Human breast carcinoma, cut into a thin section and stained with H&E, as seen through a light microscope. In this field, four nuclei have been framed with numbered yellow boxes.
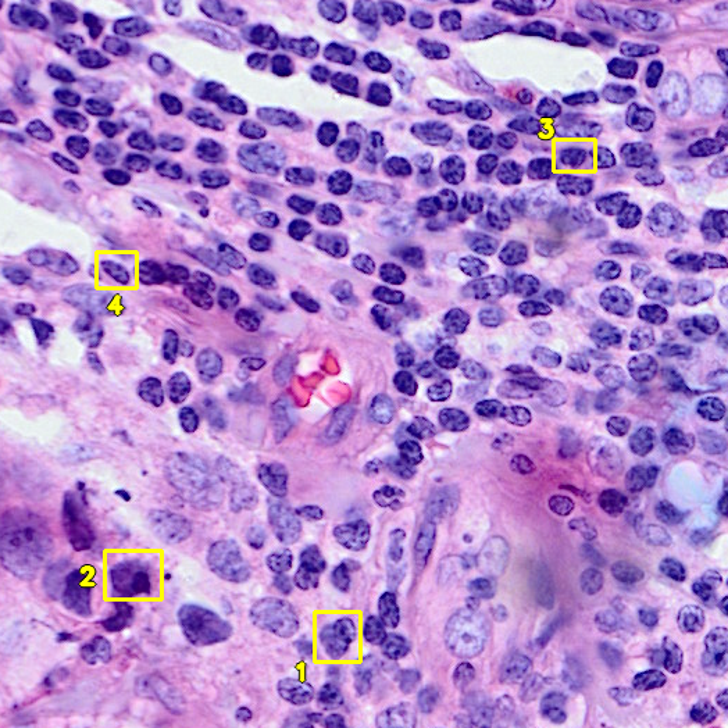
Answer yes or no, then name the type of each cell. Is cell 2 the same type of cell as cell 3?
No, unlike cell 3, which is a lymphocyte, cell 2 is a carcinoma cell.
